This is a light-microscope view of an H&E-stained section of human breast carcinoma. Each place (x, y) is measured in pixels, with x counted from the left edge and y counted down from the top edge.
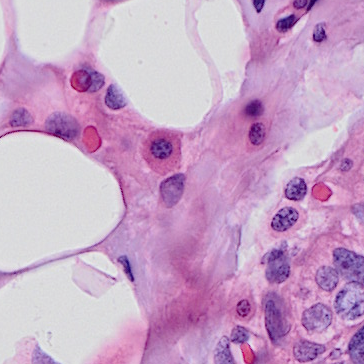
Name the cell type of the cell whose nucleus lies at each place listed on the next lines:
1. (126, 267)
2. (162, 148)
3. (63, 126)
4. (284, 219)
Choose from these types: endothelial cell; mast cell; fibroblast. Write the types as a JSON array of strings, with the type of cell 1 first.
["fibroblast", "mast cell", "endothelial cell", "mast cell"]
